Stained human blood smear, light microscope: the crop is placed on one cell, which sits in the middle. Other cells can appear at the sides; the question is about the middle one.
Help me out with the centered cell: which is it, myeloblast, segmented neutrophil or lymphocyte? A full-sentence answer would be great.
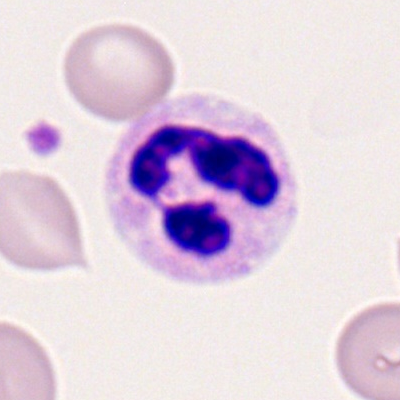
This crop has a segmented neutrophil at its centre.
